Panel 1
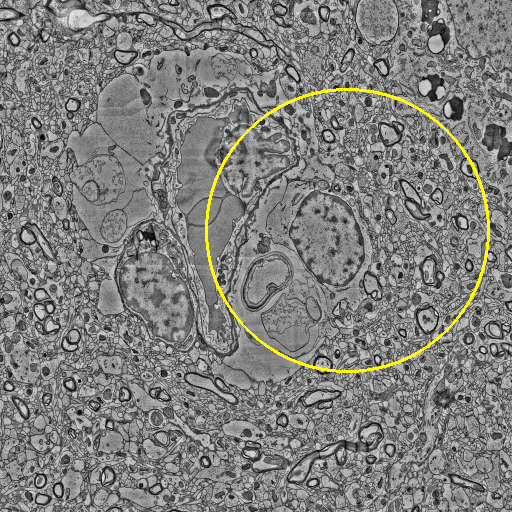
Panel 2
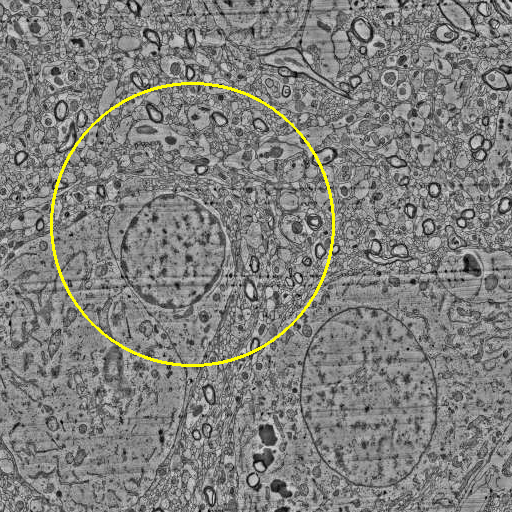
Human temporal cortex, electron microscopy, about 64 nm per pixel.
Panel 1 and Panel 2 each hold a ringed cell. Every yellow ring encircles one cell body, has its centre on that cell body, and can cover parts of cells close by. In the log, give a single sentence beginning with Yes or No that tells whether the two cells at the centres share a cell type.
Yes, in Panel 1 and Panel 2 the centred cells share a cell type.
